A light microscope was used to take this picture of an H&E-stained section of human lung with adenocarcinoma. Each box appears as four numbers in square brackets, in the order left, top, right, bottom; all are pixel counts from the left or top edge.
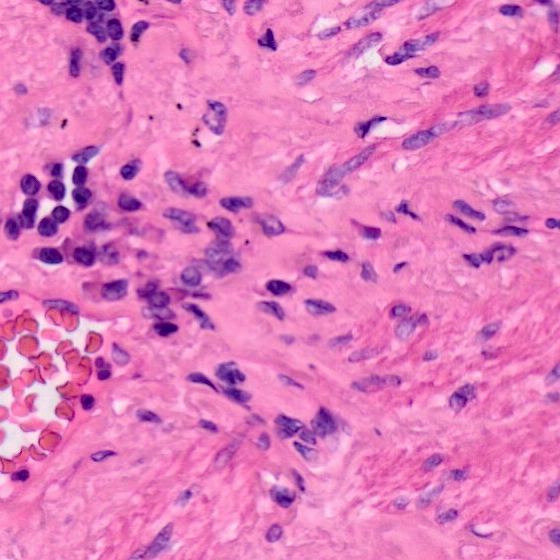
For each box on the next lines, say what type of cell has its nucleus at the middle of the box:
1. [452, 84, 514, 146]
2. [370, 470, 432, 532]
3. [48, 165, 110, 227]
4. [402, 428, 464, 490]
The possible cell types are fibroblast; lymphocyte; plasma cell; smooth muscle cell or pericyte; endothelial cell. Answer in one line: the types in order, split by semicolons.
smooth muscle cell or pericyte; smooth muscle cell or pericyte; lymphocyte; smooth muscle cell or pericyte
